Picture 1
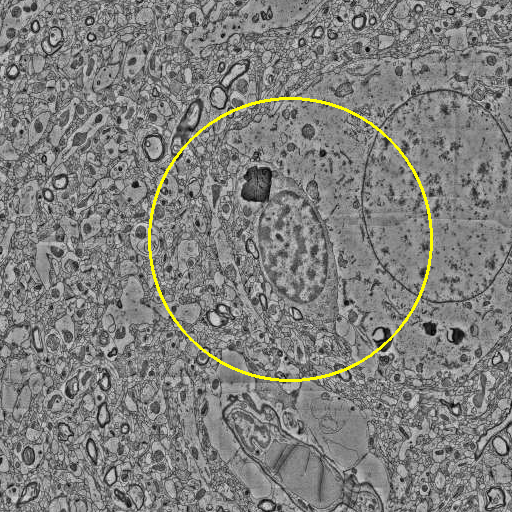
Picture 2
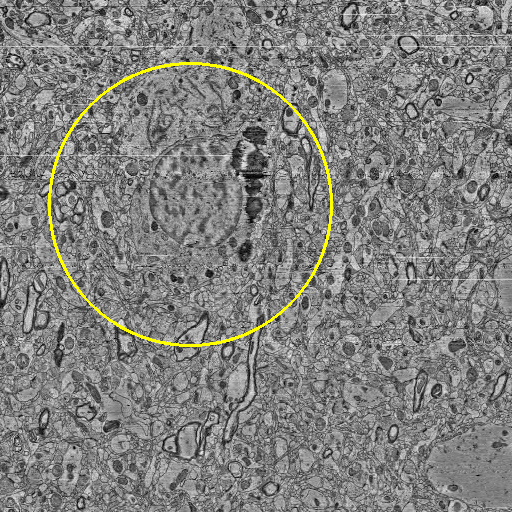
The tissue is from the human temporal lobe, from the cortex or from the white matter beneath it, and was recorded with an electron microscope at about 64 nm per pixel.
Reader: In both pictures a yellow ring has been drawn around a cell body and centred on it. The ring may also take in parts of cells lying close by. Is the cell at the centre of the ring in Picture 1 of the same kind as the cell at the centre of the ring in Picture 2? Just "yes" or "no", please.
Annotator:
yes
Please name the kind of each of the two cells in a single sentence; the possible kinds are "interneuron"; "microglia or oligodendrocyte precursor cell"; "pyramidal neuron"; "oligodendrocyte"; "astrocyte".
Each cell, in the first picture and the second, is an oligodendrocyte.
